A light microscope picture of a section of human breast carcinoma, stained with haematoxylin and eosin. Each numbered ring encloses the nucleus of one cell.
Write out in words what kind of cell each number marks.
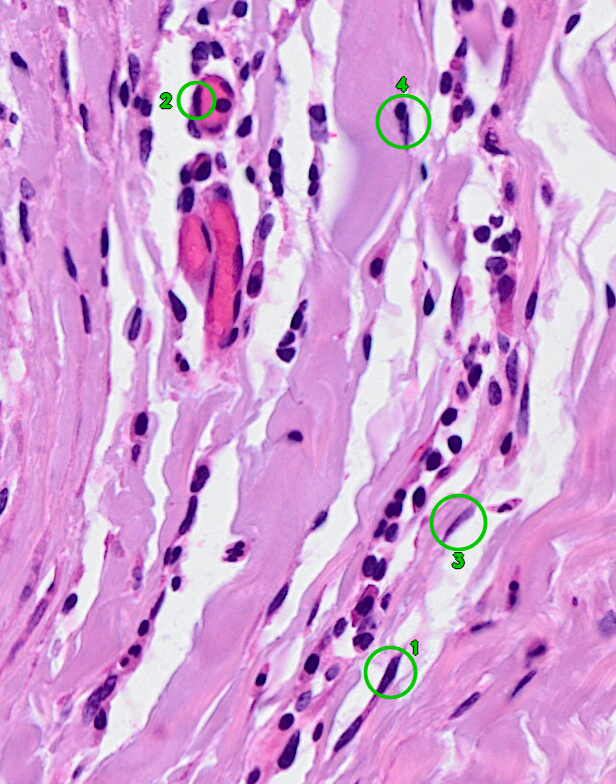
Cell 1 is a fibroblast, cell 2 is an endothelial cell, cell 3 is a fibroblast and cell 4 is a fibroblast.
